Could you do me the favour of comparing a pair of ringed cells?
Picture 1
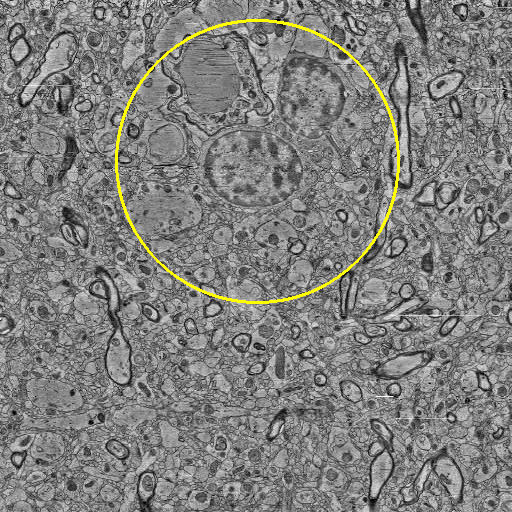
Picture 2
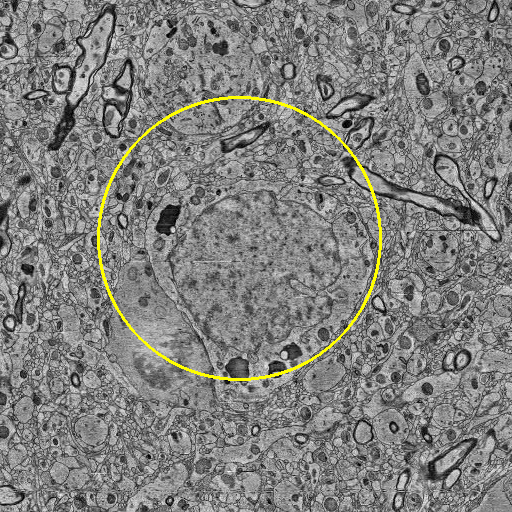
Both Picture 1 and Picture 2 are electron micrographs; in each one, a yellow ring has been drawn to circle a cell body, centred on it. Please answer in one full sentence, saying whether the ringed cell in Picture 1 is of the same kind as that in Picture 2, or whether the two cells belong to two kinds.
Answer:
The ringed cells in Picture 1 and Picture 2 belong to two kinds.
